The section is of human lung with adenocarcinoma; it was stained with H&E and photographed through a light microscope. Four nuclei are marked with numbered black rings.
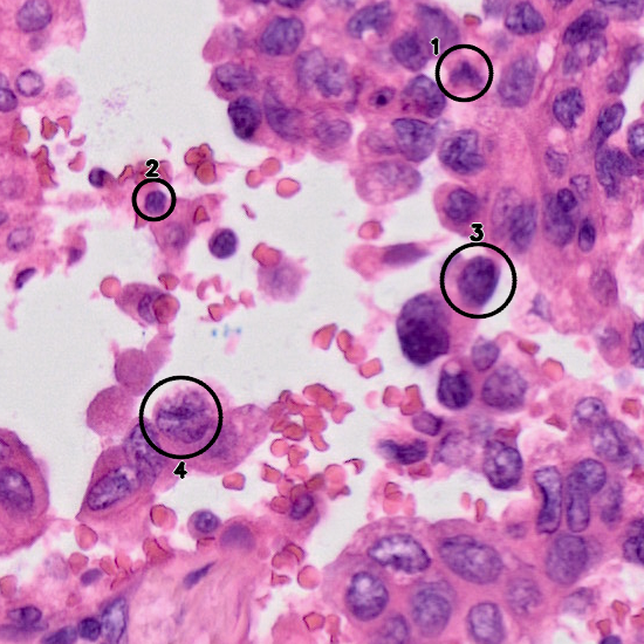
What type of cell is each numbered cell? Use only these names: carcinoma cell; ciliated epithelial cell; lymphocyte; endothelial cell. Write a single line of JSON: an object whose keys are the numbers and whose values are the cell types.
{"1": "carcinoma cell", "2": "lymphocyte", "3": "carcinoma cell", "4": "carcinoma cell"}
